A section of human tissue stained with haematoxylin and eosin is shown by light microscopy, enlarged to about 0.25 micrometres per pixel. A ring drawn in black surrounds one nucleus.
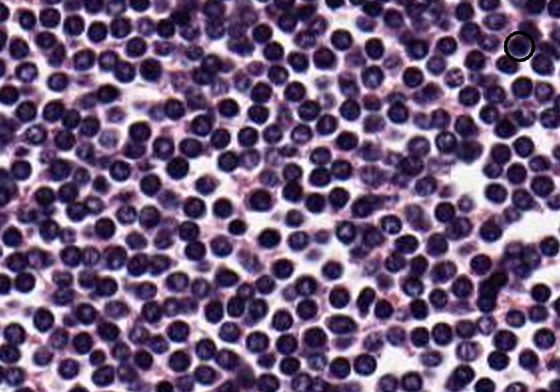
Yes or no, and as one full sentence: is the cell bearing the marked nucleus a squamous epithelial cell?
No, a supporting cell rather than a squamous epithelial cell is the cell of the marked nucleus.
